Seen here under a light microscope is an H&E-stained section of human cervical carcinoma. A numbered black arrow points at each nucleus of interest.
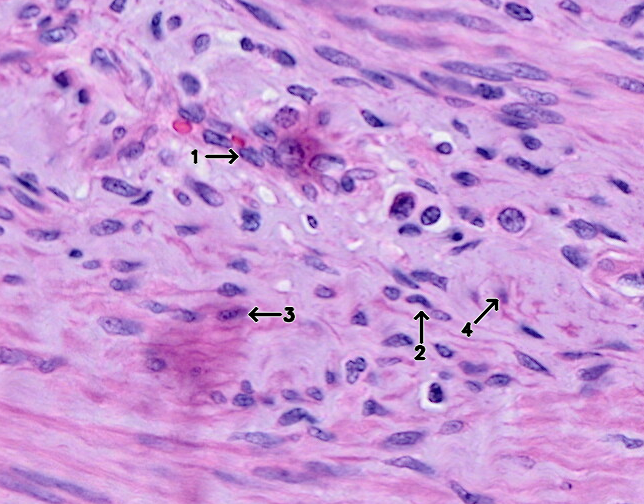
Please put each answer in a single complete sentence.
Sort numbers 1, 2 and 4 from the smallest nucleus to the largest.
From smallest to largest, the order is 4, 2, 1.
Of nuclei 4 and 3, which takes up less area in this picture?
Nucleus 4 covers less area, with nucleus 3 about 1.5 times as large.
